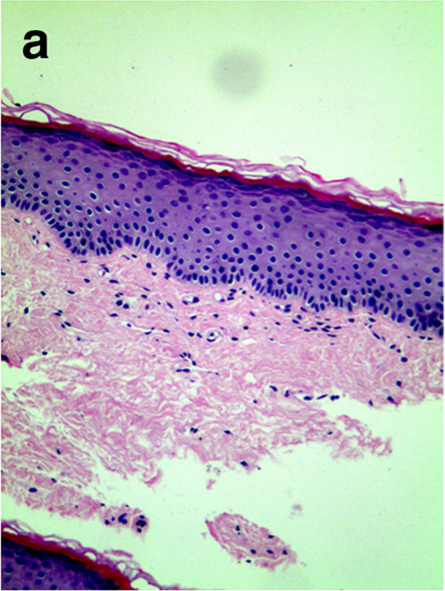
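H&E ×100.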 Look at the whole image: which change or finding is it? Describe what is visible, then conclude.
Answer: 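The basal layer of the epidermis is free of brown pigment. Basal cells form a dark-nucleated row without interspersed pale cells.
Conclusion: loss of melanocytes and melanin granules in the basal layer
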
